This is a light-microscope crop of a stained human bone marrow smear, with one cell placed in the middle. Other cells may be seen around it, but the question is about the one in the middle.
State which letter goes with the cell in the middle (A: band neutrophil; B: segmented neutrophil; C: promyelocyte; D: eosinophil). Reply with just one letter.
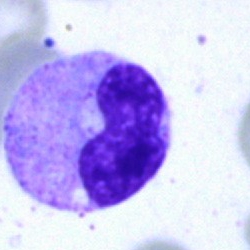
A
